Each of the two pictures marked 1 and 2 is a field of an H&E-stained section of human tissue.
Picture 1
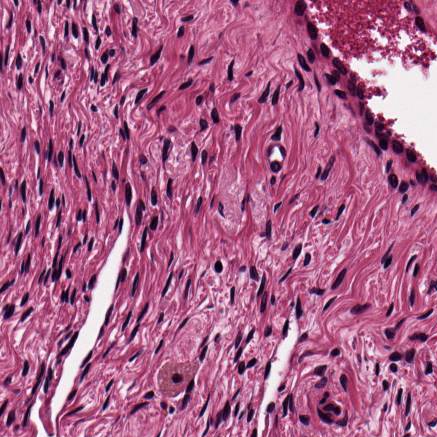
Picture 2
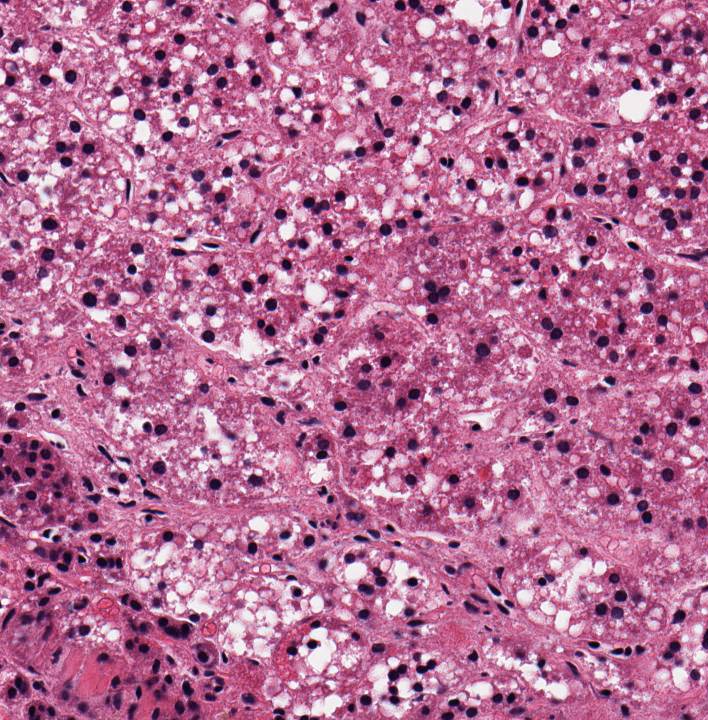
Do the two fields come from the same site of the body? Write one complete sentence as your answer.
No, they differ: picture 1 comes from the ovary, and picture 2 comes from the adrenal gland.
